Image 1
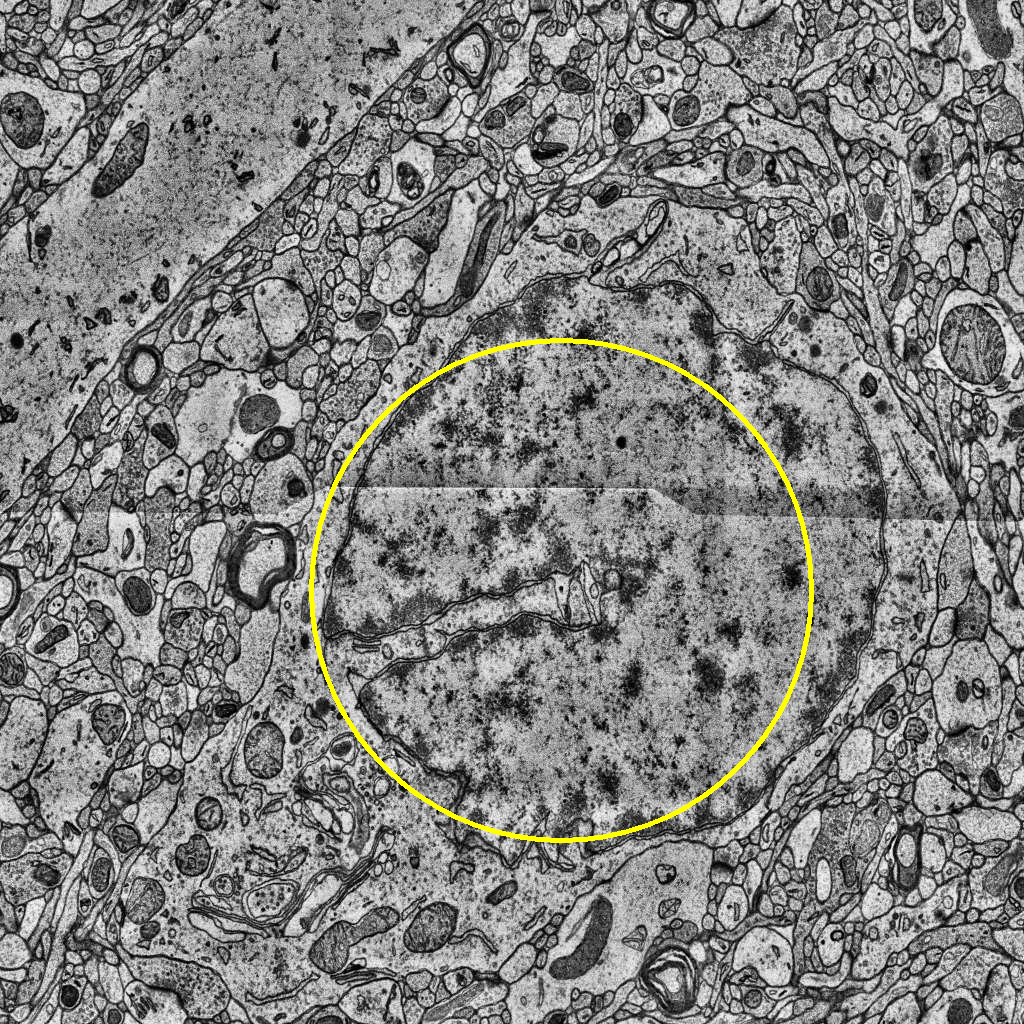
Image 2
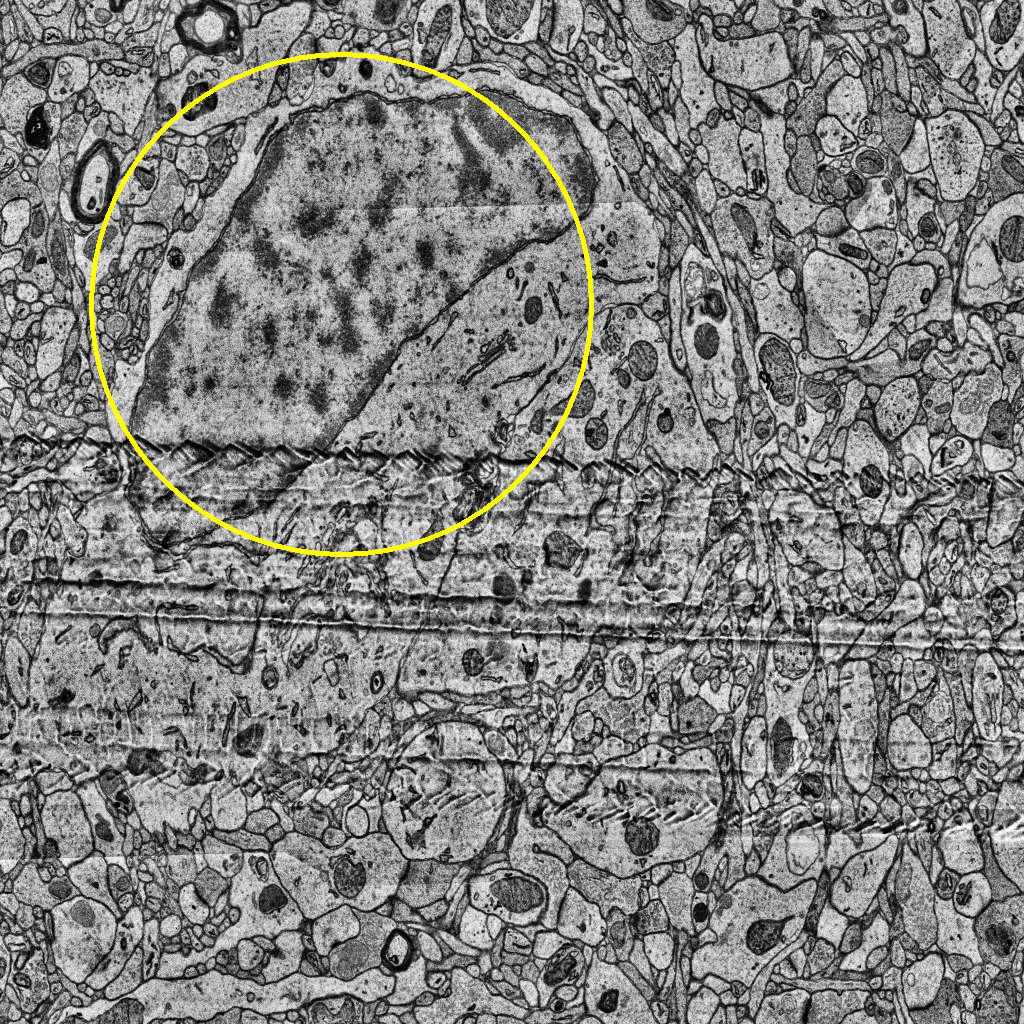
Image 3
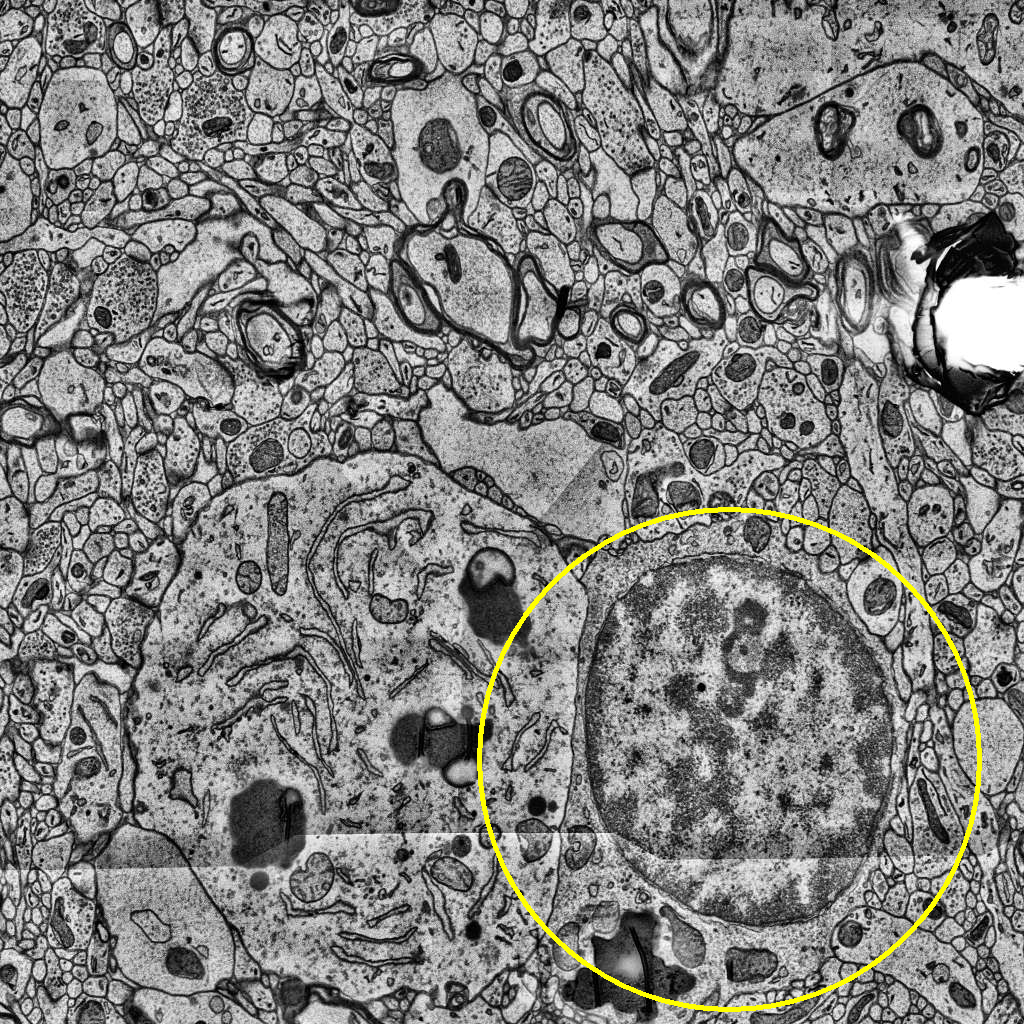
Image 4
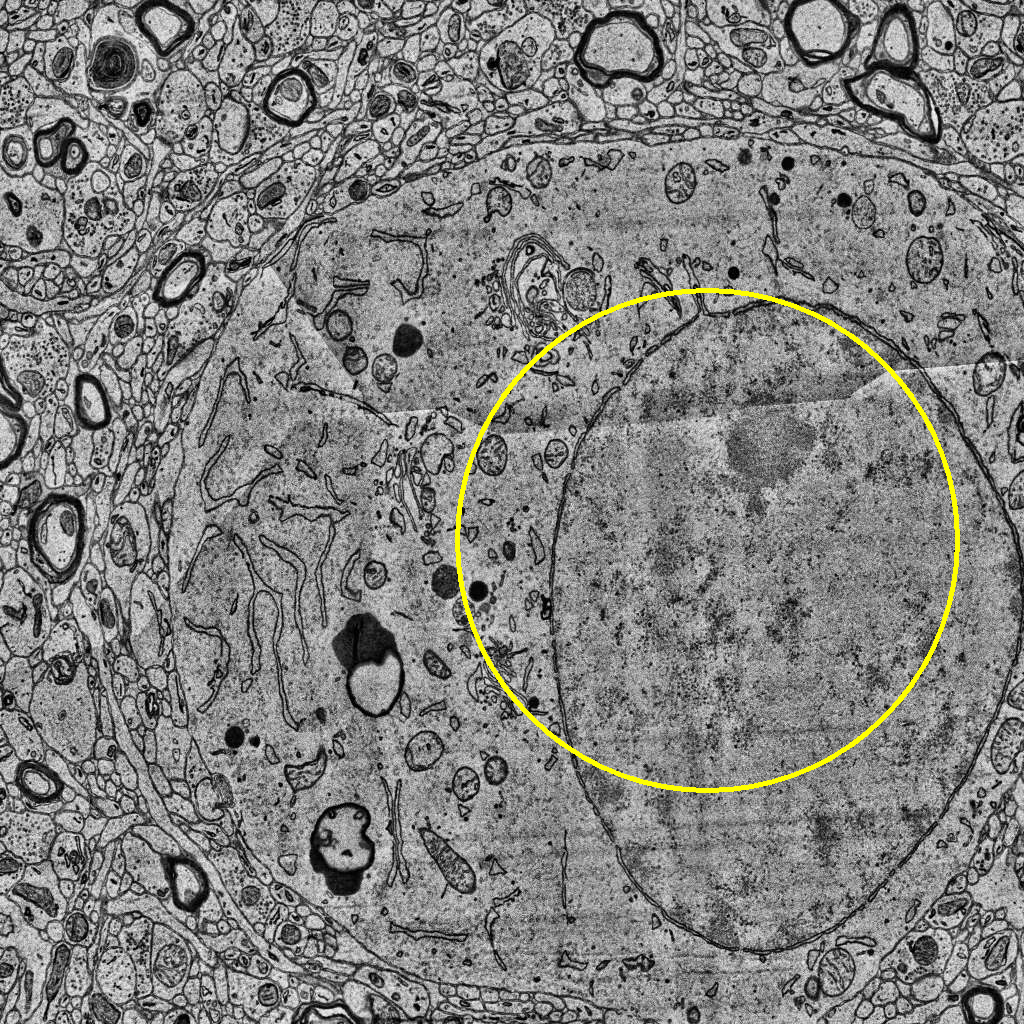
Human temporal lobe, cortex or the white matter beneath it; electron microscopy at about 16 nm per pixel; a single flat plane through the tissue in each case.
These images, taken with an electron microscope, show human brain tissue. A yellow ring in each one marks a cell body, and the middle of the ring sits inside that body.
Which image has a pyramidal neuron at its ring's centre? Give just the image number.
4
